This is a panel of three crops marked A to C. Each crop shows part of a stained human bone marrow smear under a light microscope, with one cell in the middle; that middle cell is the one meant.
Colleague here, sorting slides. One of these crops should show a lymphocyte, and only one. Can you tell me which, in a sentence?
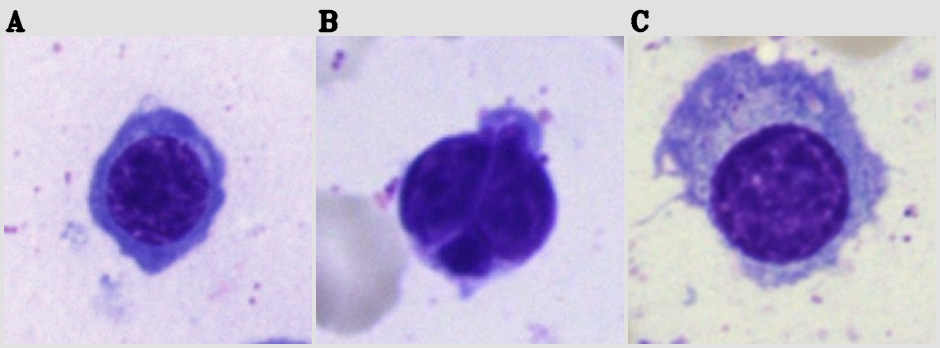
Crop B is the one to choose: it shows a lymphocyte.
